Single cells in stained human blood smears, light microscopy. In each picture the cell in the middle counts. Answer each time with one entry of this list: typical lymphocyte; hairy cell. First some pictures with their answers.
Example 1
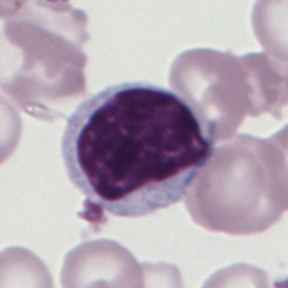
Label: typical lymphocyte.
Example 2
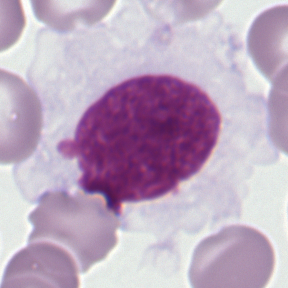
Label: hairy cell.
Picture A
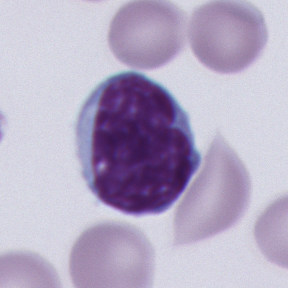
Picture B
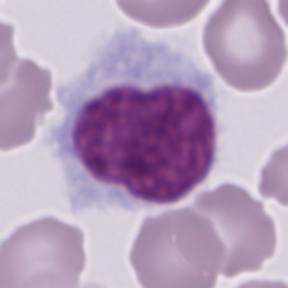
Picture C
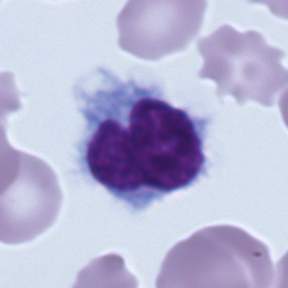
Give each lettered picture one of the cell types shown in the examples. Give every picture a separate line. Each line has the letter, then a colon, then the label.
A: typical lymphocyte.
B: hairy cell.
C: hairy cell.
